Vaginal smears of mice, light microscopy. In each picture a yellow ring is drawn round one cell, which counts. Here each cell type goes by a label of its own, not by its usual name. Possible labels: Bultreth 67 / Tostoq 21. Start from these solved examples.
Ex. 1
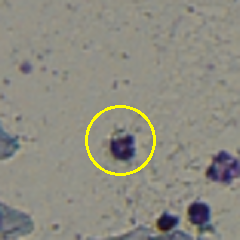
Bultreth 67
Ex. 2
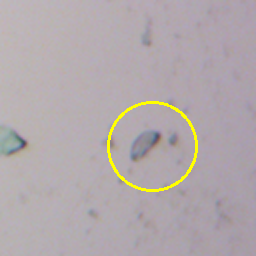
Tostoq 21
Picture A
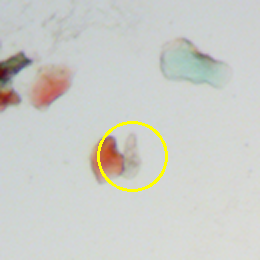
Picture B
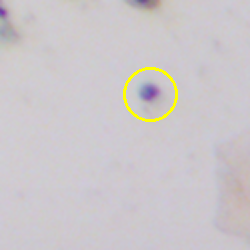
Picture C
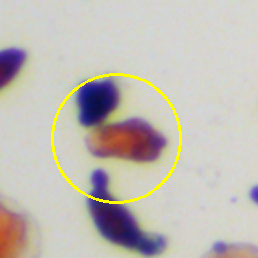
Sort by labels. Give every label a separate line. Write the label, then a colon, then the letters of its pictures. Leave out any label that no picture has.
Bultreth 67: B
Tostoq 21: A, C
